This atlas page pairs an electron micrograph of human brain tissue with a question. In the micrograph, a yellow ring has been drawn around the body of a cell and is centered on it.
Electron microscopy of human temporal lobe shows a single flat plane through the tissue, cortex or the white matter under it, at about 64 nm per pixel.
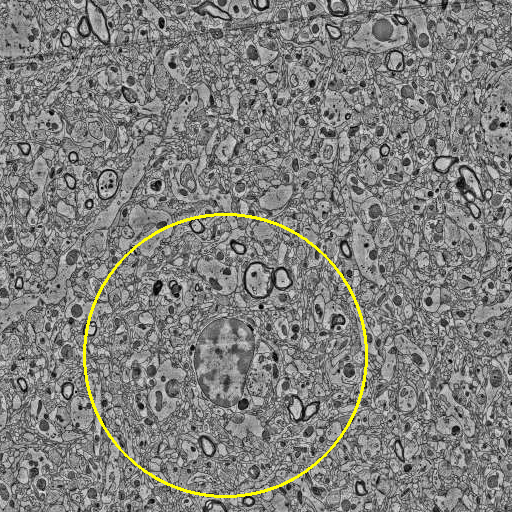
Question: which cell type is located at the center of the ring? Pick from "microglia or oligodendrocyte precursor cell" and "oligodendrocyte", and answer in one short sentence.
Located at the center of the ring is a microglial cell or oligodendrocyte precursor cell.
